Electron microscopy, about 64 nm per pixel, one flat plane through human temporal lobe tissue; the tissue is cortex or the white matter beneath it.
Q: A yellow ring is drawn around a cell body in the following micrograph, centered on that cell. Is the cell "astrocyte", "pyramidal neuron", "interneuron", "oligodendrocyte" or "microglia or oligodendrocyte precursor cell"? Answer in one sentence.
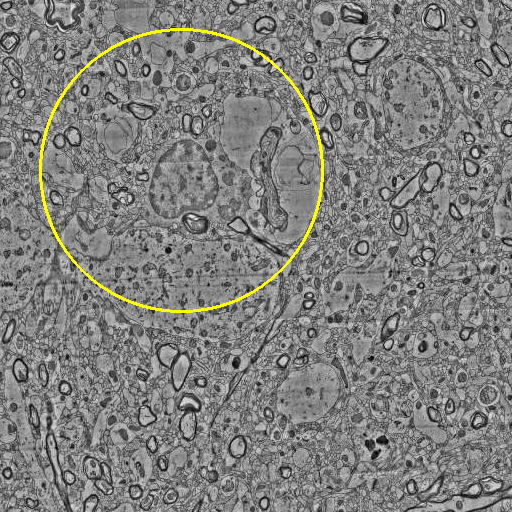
The cell in the center of the ring is an oligodendrocyte.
